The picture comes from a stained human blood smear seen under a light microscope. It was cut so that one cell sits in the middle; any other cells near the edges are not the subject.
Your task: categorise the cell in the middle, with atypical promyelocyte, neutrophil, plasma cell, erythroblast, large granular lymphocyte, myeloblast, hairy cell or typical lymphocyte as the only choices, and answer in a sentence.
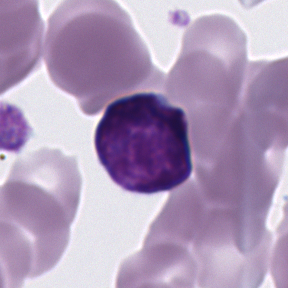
The cell at the heart of this crop is a typical lymphocyte.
